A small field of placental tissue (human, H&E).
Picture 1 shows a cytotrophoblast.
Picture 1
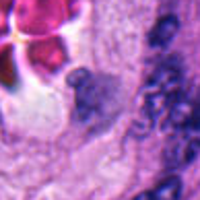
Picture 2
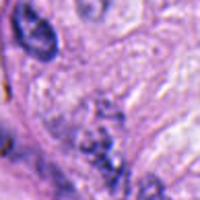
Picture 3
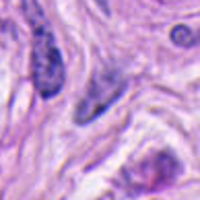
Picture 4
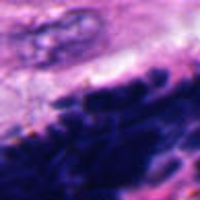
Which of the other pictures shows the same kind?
Picture 2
